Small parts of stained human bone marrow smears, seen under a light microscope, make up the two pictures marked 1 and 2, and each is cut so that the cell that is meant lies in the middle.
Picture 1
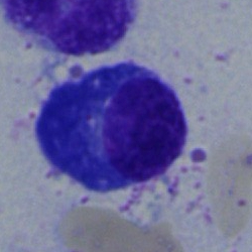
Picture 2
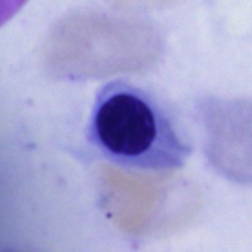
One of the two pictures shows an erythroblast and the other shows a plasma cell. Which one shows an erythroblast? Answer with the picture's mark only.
2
